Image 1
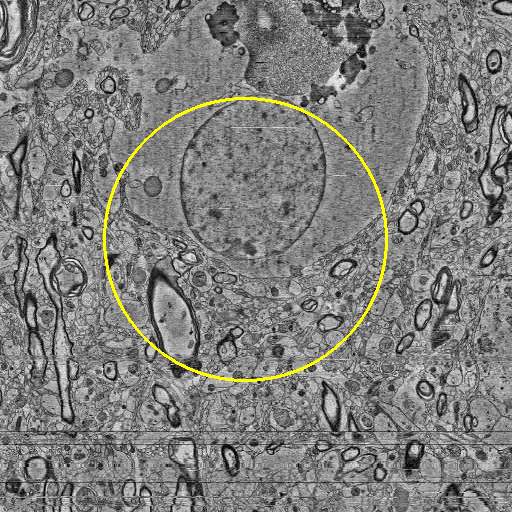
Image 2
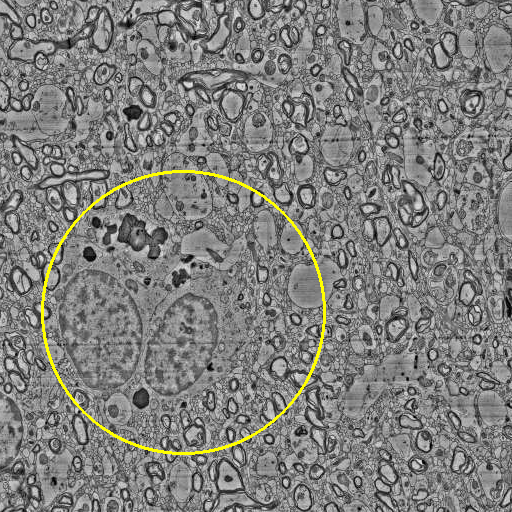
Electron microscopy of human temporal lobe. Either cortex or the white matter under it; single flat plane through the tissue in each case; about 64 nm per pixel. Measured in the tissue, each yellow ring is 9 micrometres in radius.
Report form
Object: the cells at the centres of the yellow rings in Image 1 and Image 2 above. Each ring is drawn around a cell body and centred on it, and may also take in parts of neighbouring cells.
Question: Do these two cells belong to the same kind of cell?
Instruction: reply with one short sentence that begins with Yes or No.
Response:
No, they belong to two kinds of cell.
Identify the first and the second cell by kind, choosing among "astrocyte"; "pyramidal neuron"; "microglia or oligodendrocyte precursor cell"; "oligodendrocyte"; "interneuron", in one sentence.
The one in the first picture is an astrocyte, while the one in the second is an oligodendrocyte.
